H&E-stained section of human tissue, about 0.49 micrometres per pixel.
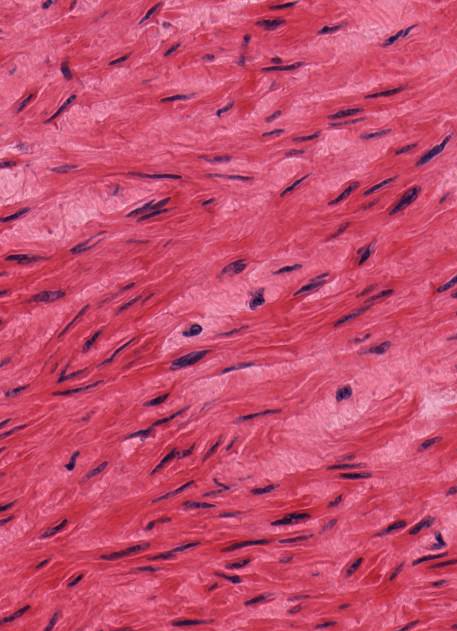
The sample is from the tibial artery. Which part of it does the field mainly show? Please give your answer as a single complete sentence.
The tissue part in this image has the name tunica media.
